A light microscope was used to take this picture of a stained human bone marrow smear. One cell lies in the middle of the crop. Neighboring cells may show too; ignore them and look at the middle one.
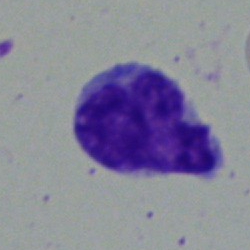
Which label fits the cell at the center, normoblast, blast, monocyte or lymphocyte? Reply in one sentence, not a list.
The cell nearest the centre of this crop is a monocyte.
